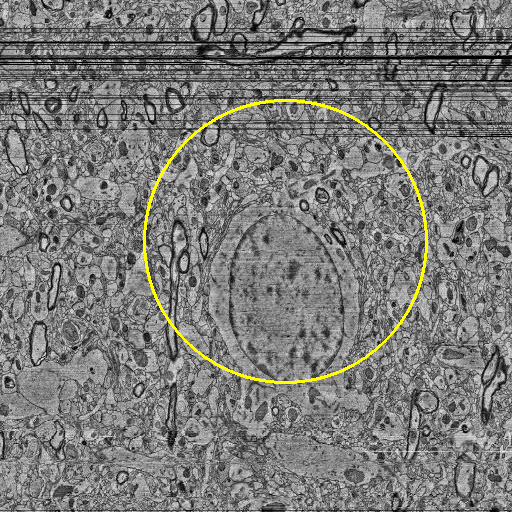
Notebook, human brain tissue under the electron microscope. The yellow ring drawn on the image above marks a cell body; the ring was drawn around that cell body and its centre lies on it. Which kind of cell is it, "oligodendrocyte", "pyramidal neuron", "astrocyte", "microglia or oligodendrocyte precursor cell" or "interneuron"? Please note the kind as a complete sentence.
The marked cell body is that of an astrocyte.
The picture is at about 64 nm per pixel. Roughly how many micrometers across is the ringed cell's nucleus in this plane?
The nucleus is approximately 12 micrometres long but only about 7 wide, clearly longer than it is wide in this plane.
